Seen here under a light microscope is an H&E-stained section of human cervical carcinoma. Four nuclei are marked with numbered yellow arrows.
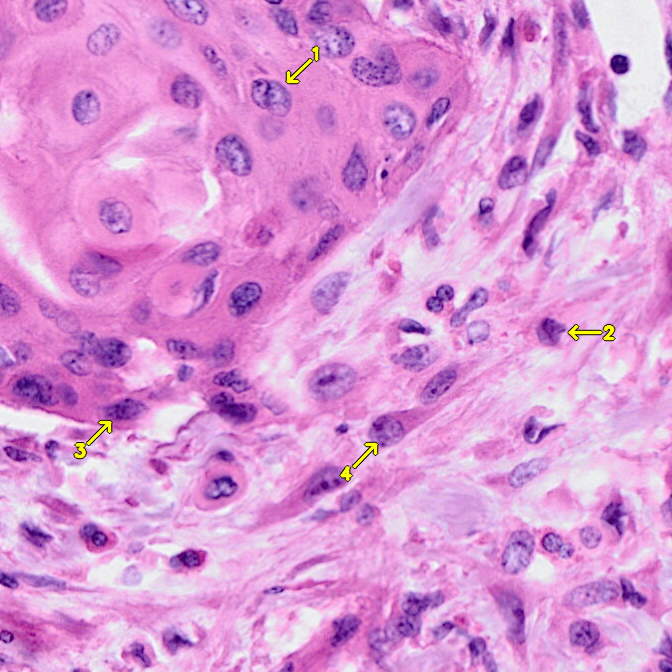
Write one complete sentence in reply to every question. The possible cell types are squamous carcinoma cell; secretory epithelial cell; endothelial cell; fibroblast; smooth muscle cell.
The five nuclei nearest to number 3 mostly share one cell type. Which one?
Of the five nuclei nearest to number 3, most belong to squamous carcinoma cells.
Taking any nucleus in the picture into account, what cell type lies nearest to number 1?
The nucleus nearest to number 1 is that of a squamous carcinoma cell.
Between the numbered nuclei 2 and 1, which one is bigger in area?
It is nucleus 1, which covers about 1.5 times the area of nucleus 2.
